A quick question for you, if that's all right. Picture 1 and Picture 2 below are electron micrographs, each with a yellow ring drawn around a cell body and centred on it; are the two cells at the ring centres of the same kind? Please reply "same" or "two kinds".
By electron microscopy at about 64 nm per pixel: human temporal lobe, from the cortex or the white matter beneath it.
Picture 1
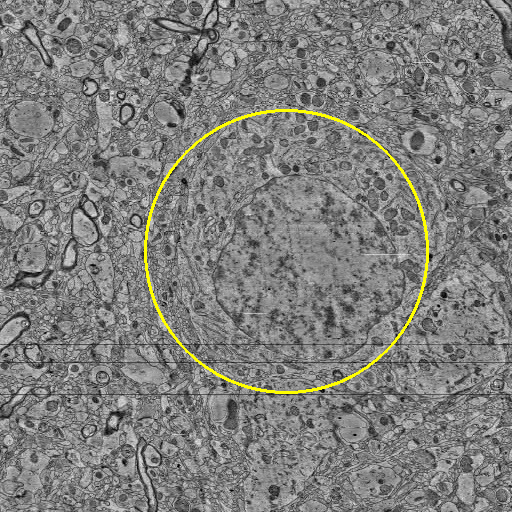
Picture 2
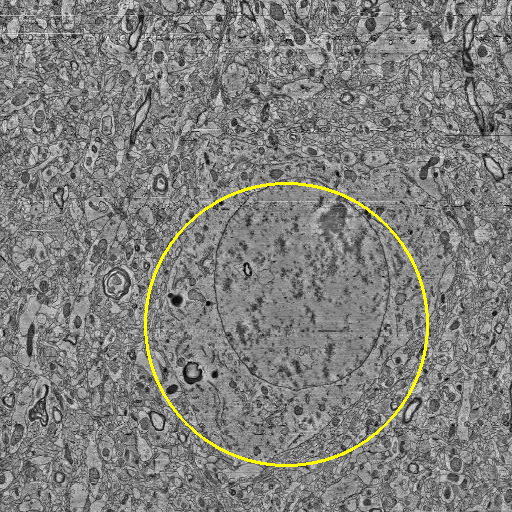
two kinds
